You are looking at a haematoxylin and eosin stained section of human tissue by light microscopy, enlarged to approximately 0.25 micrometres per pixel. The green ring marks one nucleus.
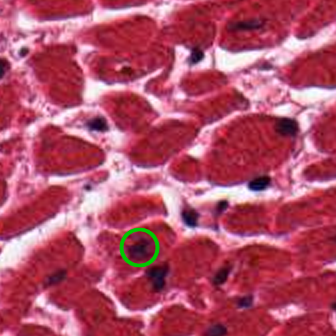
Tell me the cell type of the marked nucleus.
cardiomyocyte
